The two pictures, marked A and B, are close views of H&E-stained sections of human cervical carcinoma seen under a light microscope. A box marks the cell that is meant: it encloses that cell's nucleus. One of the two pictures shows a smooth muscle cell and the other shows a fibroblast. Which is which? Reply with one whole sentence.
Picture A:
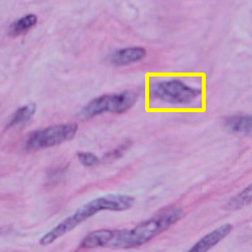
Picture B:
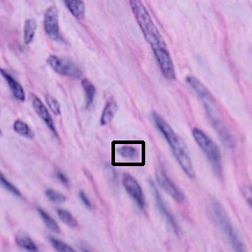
The cell in picture A is a fibroblast, and the one in picture B is a smooth muscle cell.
